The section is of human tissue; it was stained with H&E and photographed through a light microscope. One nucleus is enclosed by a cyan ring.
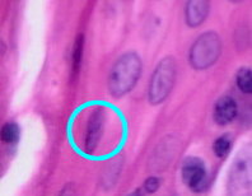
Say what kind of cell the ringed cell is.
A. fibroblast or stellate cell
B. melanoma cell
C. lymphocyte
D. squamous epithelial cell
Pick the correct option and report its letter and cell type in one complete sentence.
Option D gets it right: the ringed cell is a squamous epithelial cell.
